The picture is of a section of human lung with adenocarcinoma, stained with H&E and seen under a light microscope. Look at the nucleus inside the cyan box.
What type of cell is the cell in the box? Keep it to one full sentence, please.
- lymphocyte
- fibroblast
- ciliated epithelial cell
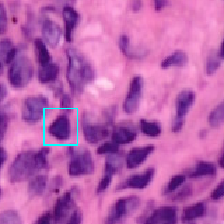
Labelled by cell type, the cell in the box is a lymphocyte.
